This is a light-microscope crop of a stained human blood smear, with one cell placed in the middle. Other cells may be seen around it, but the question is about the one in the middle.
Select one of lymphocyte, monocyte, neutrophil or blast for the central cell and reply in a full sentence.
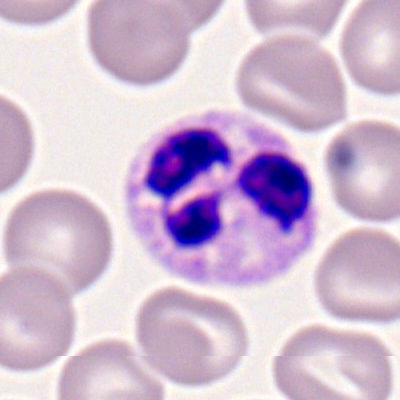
In the centre of this crop there is a neutrophil.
